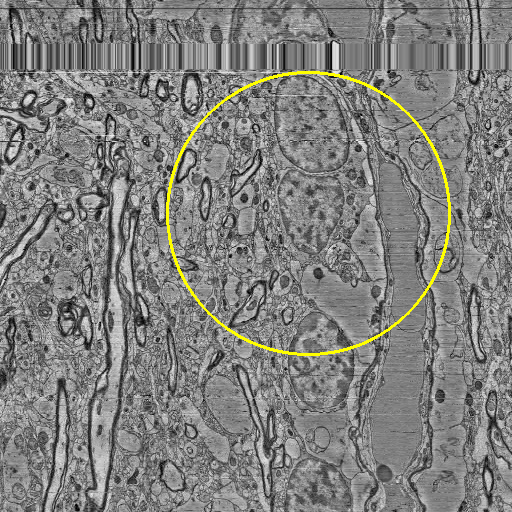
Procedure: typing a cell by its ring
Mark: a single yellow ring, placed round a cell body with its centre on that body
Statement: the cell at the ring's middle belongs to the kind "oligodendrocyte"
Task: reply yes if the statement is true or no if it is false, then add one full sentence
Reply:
Yes, this is true: the cell at the ring's centre in the picture belongs to that kind.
